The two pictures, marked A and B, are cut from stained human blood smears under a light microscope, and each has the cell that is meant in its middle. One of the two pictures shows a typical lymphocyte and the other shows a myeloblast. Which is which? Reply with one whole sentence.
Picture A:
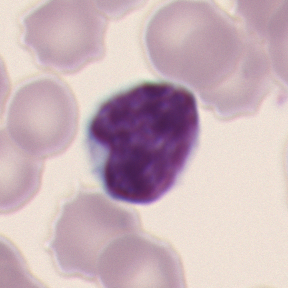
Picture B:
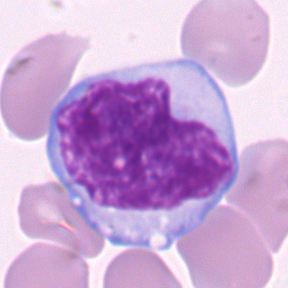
It is picture A that shows a typical lymphocyte, and picture B that shows a myeloblast.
